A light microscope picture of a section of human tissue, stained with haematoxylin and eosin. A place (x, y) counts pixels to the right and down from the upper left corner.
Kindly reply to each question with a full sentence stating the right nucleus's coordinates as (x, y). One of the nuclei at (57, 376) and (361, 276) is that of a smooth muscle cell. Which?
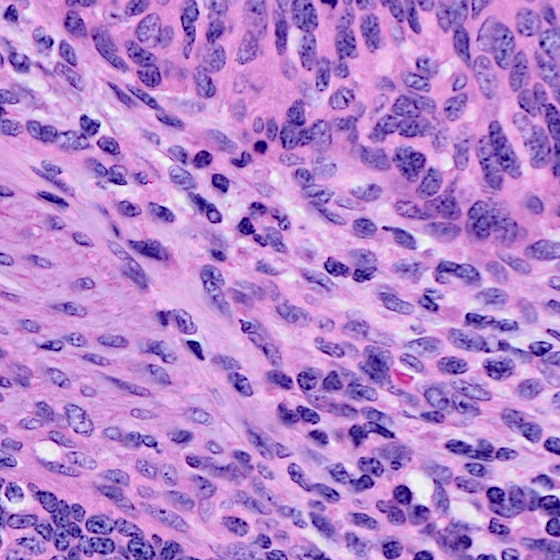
Heads up, the nucleus at (57, 376) is the one that belongs to a smooth muscle cell.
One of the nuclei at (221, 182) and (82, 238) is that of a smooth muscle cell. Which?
Of the two nuclei, that at (82, 238) is the nucleus of a smooth muscle cell.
